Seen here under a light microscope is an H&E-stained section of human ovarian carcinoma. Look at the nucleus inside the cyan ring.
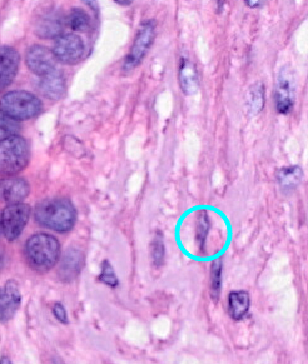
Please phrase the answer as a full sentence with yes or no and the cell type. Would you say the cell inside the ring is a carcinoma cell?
No, the cell inside the ring is put down as a fibroblast, not as a carcinoma cell.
